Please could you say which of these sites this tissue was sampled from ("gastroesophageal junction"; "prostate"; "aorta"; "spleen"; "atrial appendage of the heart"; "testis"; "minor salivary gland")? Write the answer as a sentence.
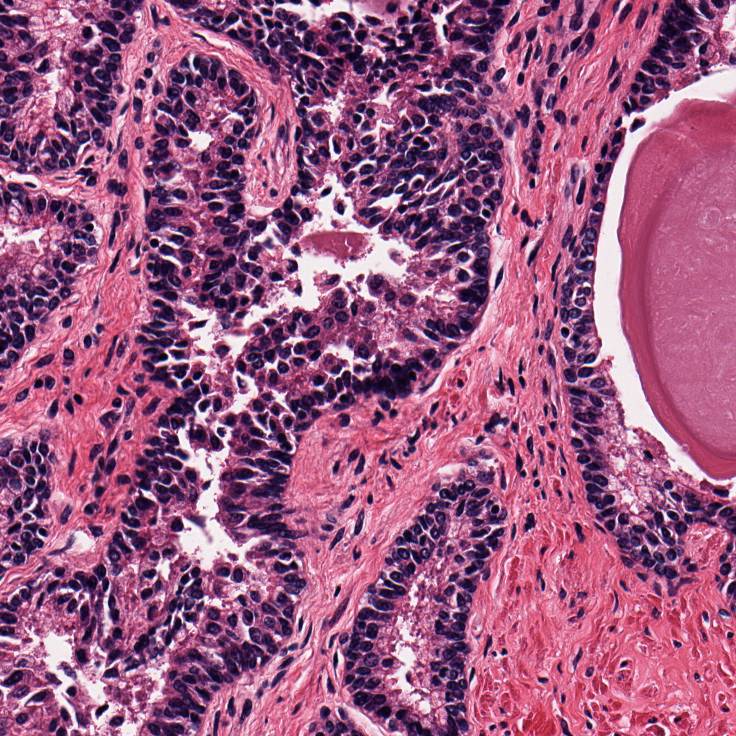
The site this tissue was sampled from is the prostate.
